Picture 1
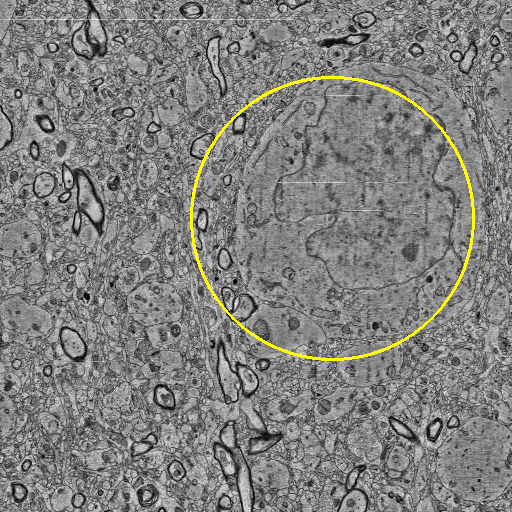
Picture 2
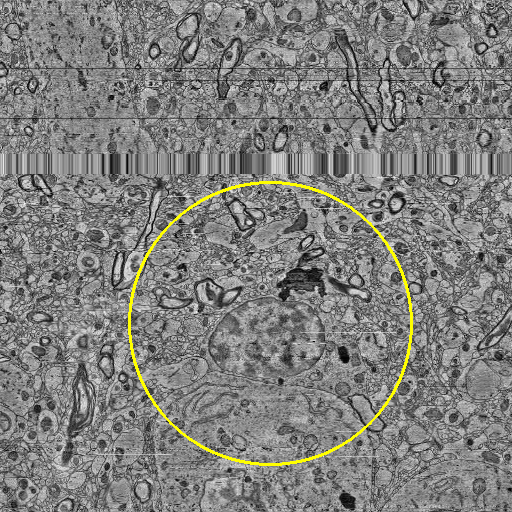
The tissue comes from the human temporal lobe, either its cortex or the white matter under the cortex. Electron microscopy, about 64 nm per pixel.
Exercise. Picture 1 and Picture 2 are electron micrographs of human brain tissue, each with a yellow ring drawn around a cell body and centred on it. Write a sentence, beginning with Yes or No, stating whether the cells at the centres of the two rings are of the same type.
No, the cells at the centres of the rings are of two types.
